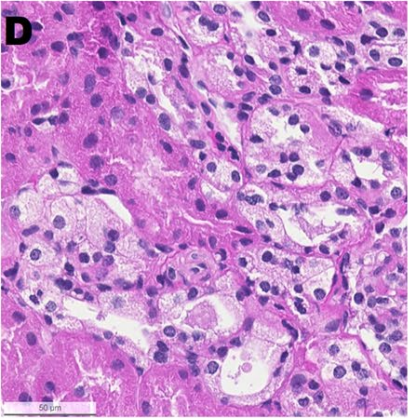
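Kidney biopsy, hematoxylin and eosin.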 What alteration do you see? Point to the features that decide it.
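Several tubular cells have pale, foamy, clear cytoplasm. Others nearby have pink granular cytoplasm. On this evidence: vacuolated cells.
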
